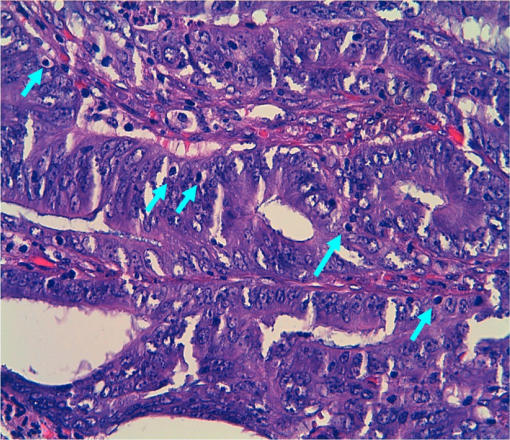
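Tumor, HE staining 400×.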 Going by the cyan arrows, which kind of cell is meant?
Intraepithelial lymphocytes.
